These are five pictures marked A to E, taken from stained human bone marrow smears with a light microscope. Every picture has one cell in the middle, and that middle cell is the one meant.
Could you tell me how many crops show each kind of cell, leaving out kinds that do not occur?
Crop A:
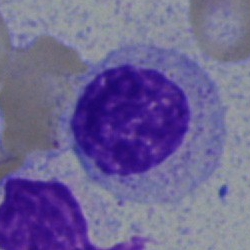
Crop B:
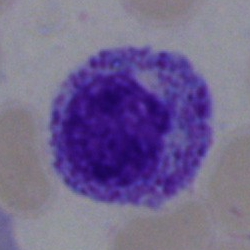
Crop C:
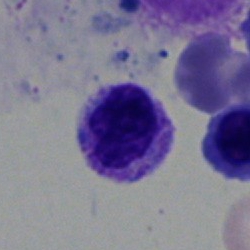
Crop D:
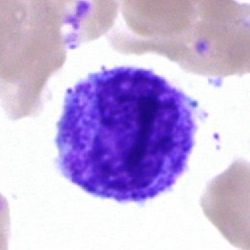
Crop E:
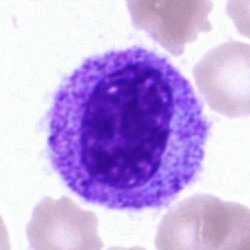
myelocyte: 5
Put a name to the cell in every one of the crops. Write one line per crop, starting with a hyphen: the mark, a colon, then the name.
- A: myelocyte
- B: myelocyte
- C: myelocyte
- D: myelocyte
- E: myelocyte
